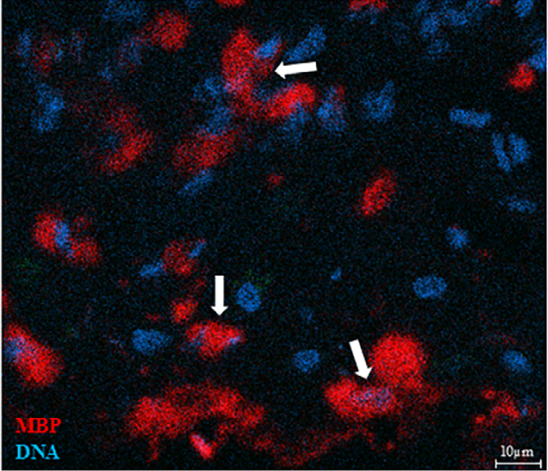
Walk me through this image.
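Between the nuclei lie irregular red patches of varying size, some small and round, others larger and cloudy with ragged edges. Several red patches closely surround or overlap a blue nucleus, so that the nucleus appears embedded in the red. Other blue nuclei lie apart from any red, and the red is distributed unevenly, in patches rather than as a continuous layer.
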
